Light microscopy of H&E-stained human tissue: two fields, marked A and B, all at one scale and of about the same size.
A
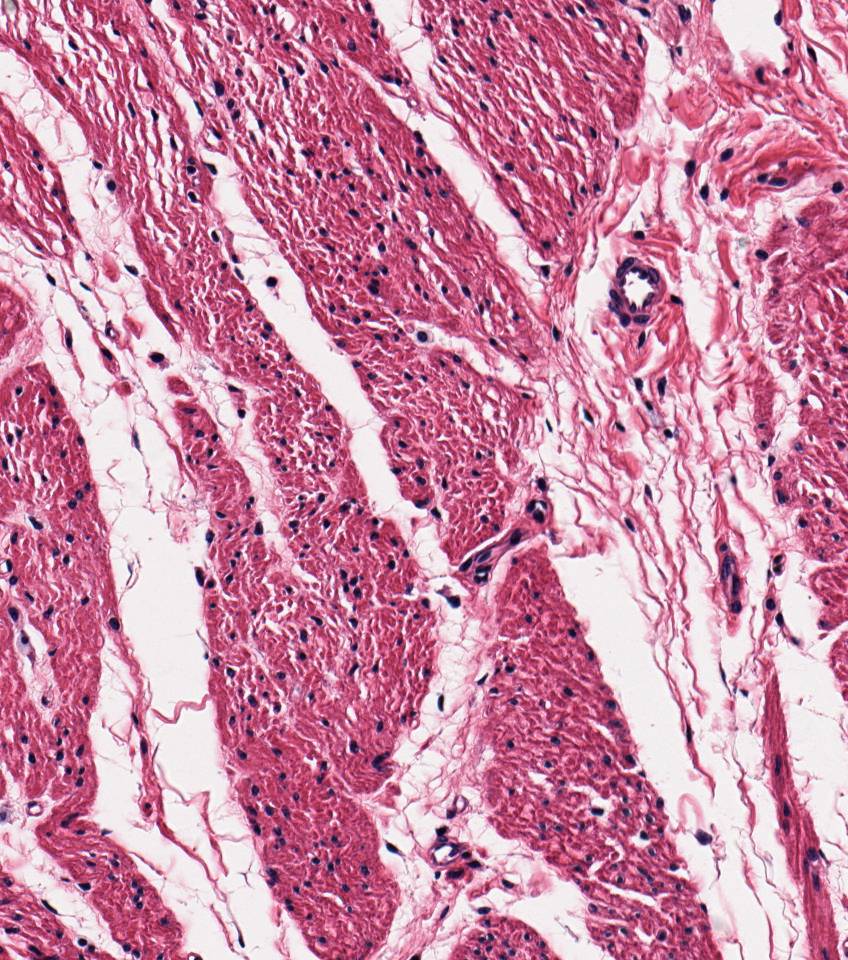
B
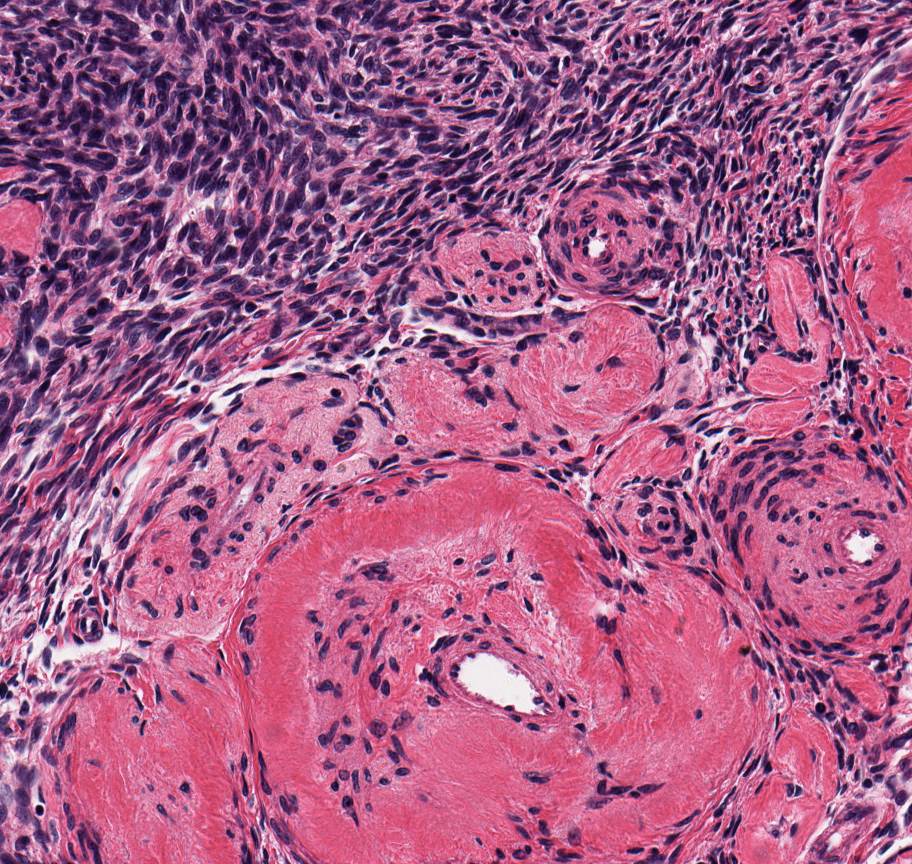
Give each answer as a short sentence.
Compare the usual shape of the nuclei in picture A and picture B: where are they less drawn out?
The nuclei are rounder in picture A.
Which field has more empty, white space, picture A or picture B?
Unstained space takes up more of picture A than of picture B.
